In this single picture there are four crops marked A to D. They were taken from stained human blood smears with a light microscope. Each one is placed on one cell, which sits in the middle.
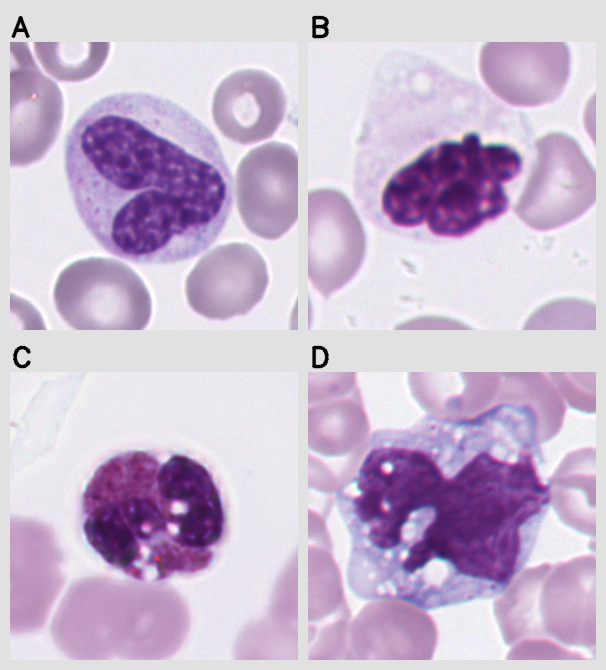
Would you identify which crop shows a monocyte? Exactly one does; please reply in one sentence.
Among the crops, only crop D contains a monocyte.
